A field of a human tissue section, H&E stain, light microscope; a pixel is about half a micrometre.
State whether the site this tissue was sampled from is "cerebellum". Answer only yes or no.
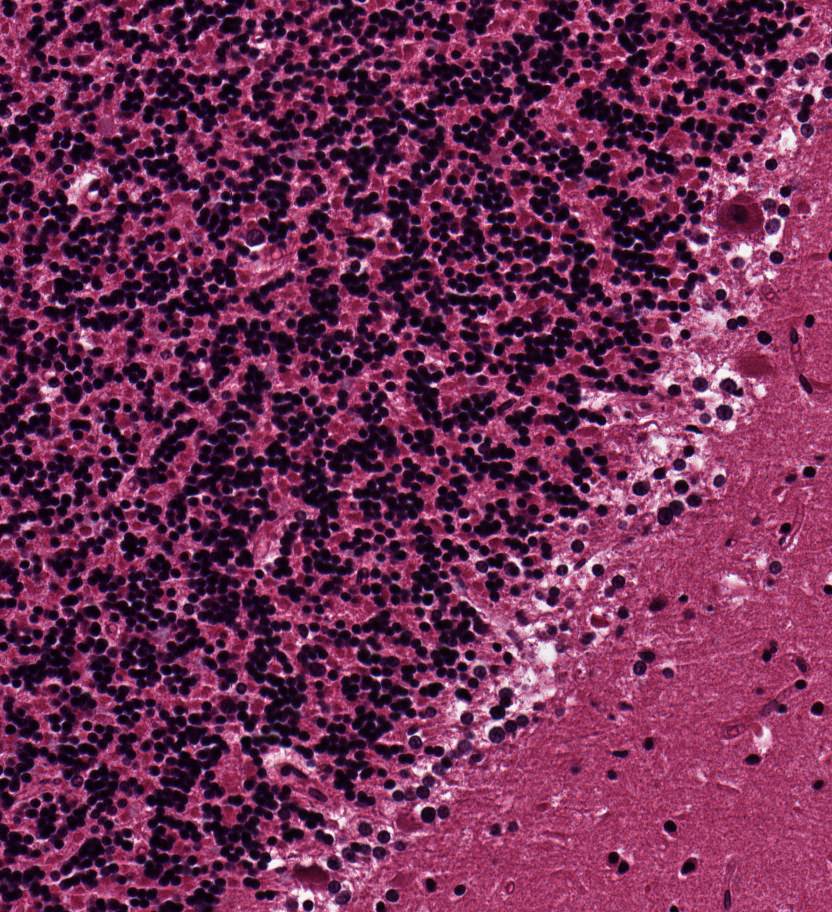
yes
